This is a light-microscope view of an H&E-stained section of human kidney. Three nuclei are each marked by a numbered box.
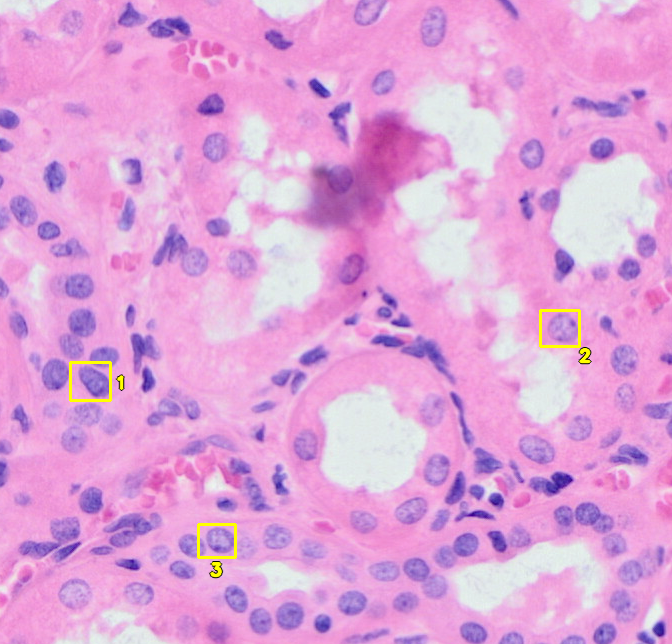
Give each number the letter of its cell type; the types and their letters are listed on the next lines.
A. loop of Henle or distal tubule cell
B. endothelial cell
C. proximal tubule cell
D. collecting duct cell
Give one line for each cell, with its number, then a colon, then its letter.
1: D
2: C
3: D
